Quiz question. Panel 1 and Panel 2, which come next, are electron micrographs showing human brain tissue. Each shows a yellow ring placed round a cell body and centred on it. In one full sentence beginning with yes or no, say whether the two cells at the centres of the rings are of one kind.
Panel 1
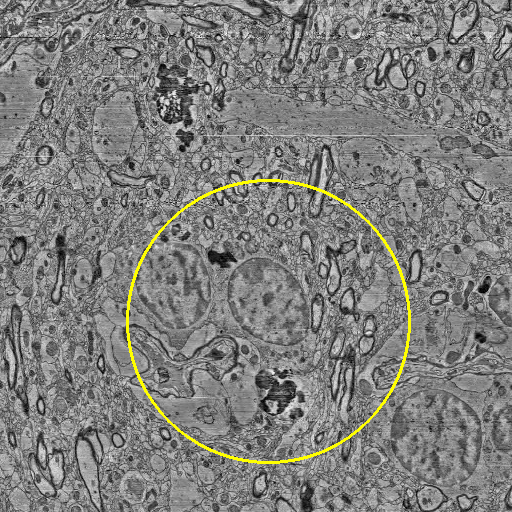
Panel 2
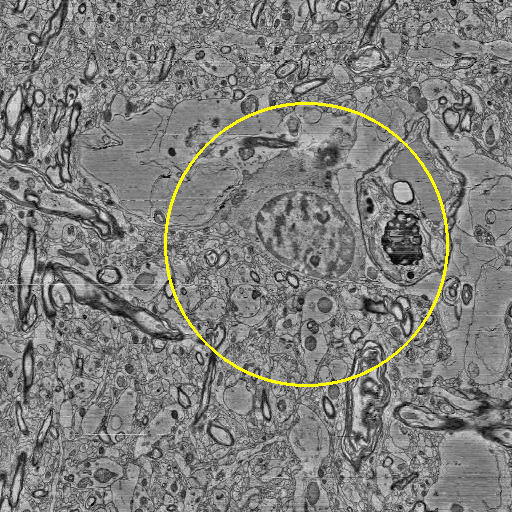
Yes, Panel 1 and Panel 2 show one kind of cell at the centre of the ring.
